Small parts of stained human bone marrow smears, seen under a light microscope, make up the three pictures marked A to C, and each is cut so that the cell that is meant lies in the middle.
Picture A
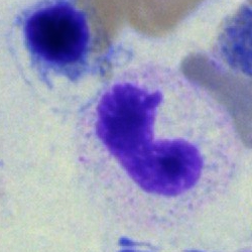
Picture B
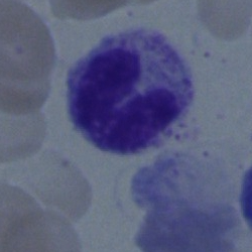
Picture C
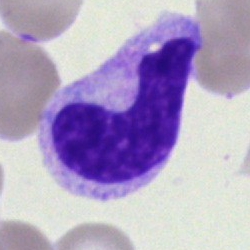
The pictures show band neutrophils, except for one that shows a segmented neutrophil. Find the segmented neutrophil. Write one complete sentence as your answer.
Picture A shows the segmented neutrophil.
